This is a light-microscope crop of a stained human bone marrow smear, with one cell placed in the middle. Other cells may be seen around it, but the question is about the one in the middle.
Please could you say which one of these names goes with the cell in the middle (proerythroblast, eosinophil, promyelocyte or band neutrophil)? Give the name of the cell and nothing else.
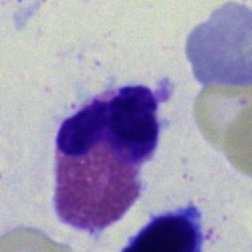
eosinophil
